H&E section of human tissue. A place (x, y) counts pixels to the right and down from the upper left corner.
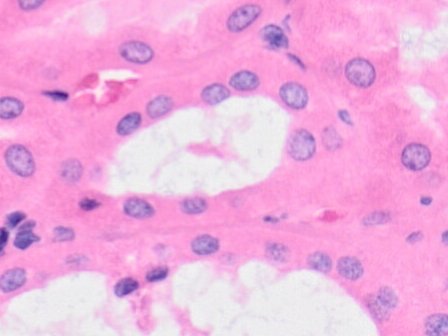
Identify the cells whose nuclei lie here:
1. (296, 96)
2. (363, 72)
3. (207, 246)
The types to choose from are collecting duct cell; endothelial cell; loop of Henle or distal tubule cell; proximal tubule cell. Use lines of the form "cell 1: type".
cell 1: loop of Henle or distal tubule cell
cell 2: proximal tubule cell
cell 3: loop of Henle or distal tubule cell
